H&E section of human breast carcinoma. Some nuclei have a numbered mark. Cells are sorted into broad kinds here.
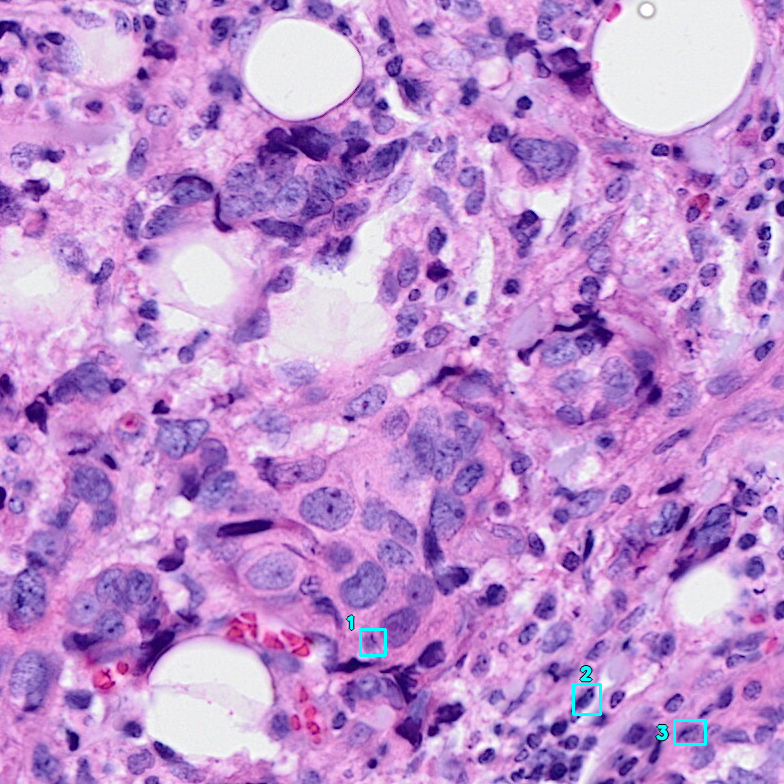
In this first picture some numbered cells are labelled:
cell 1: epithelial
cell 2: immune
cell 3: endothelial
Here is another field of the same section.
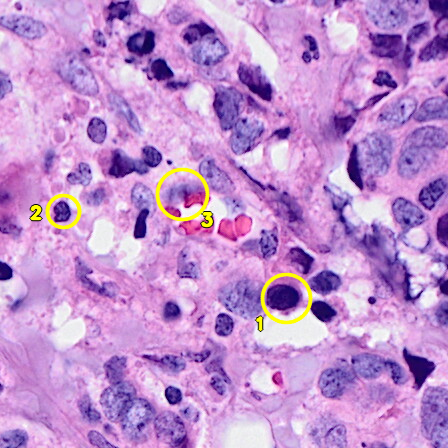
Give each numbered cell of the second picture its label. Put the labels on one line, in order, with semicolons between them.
epithelial; immune; endothelial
